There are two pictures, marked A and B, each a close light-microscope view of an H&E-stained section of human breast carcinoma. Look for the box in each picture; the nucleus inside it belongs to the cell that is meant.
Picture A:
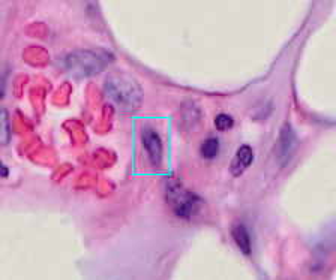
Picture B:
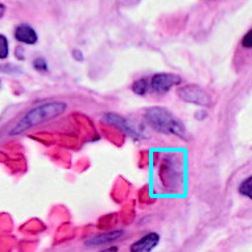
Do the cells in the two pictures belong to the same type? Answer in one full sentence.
Yes, they are the same type: both are endothelial cells.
